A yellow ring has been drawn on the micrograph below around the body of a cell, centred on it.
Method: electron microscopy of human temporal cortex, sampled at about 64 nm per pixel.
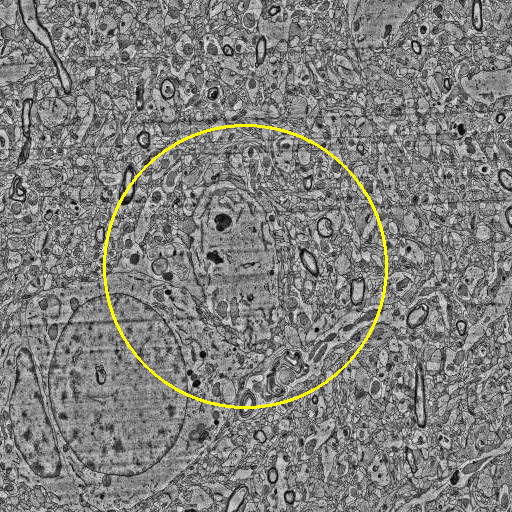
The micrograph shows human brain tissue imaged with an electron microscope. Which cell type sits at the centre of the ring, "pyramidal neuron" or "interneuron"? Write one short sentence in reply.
The cell sitting at the centre of the ring is a pyramidal neuron.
